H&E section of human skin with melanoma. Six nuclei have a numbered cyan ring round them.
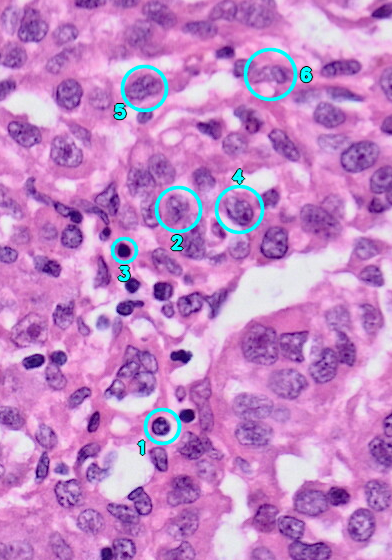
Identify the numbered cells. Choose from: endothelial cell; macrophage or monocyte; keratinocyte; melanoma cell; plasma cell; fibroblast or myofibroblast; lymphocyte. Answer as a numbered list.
1. lymphocyte
2. melanoma cell
3. lymphocyte
4. melanoma cell
5. melanoma cell
6. melanoma cell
